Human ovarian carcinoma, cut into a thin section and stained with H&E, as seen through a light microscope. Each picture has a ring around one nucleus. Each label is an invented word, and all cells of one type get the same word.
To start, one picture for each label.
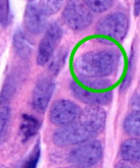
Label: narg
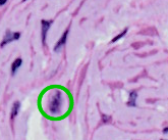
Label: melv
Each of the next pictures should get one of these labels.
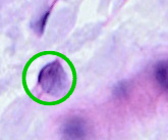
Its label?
melv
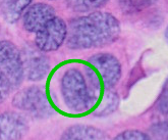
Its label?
narg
